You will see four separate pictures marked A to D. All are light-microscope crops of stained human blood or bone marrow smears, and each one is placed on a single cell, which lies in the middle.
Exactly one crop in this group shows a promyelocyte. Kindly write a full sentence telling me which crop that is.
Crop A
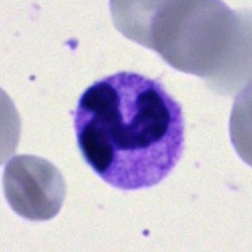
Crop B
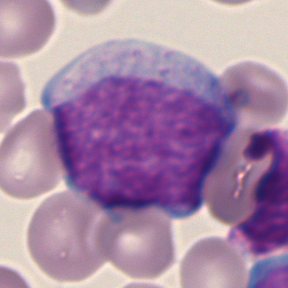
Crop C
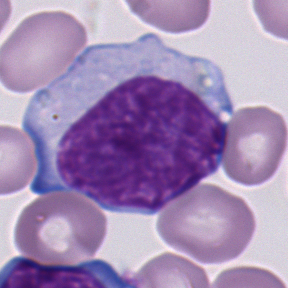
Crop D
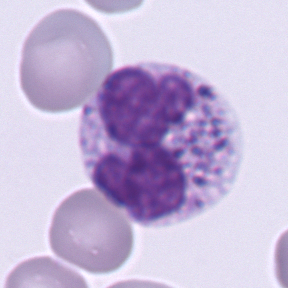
Within this set, crop B is the one with a promyelocyte at its center.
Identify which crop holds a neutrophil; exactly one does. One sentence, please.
As for which crop shows a neutrophil, it is crop A.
